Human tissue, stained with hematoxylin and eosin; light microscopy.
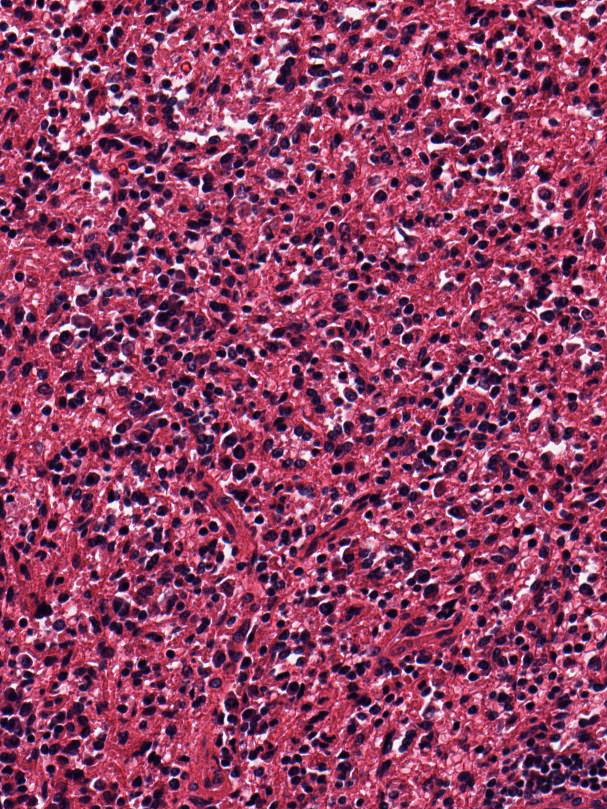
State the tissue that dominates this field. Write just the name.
red pulp of the spleen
